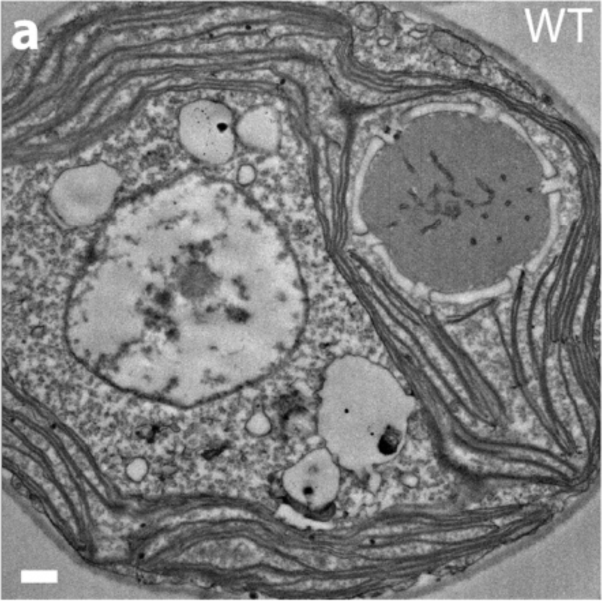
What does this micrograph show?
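A whole cell in section shows a cup-shaped chloroplast whose stacked thylakoid membranes run in parallel bands around the periphery of the cell. At one side, embedded in the chloroplast, lies a single round pyrenoid: a dense, evenly gray matrix crossed by a few thin dark tubules and ringed by pale starch plates. The nucleus sits in the cytoplasm enclosed by the chloroplast cup, a rounded, paler body with darker granular material inside. Several pale, rounded vacuoles of different sizes lie scattered in the finely granular cytoplasm between the nucleus and the chloroplast.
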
